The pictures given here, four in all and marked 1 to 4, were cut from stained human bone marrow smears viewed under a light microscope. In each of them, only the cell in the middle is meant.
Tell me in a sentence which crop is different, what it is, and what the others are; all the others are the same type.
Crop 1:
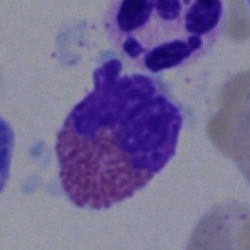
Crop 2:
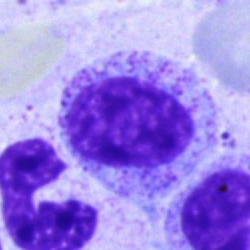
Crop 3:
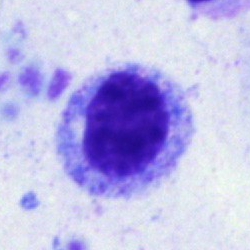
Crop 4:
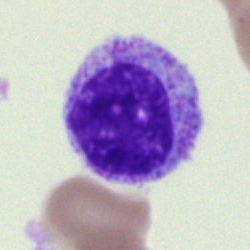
The rest of the crops show myelocytes; crop 1 is the one showing an eosinophil.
